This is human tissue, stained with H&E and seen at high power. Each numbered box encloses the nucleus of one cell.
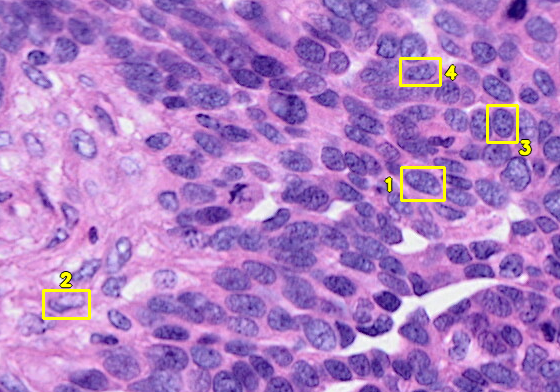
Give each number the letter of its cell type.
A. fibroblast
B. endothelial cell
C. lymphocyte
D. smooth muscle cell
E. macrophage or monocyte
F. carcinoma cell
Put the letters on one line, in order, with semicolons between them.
F; A; F; F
